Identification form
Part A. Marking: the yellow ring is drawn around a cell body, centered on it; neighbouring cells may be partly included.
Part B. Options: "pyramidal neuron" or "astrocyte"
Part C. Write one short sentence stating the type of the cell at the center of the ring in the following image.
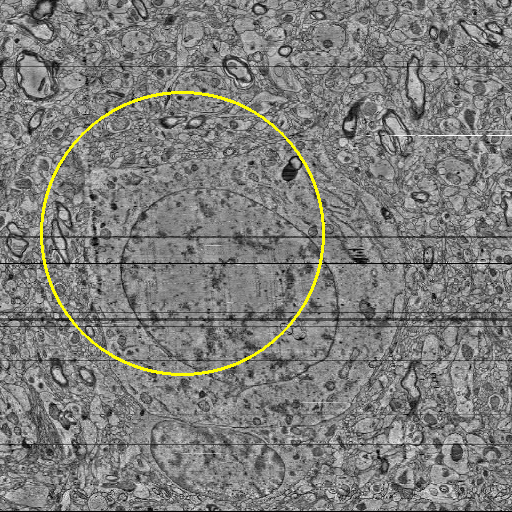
The center of the ring holds a pyramidal neuron.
